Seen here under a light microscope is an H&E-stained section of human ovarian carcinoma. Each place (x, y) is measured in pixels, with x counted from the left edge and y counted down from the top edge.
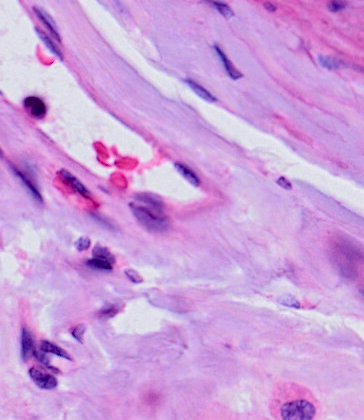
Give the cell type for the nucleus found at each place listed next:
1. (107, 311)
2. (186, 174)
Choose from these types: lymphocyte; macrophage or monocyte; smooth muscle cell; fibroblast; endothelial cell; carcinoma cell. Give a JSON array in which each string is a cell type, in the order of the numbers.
["fibroblast", "endothelial cell"]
